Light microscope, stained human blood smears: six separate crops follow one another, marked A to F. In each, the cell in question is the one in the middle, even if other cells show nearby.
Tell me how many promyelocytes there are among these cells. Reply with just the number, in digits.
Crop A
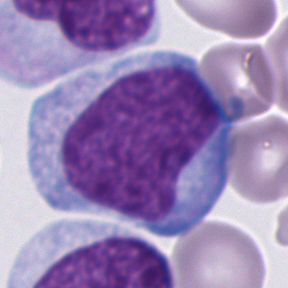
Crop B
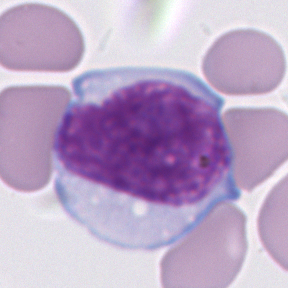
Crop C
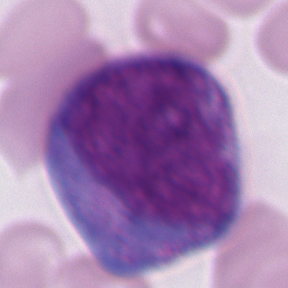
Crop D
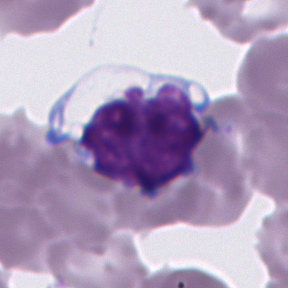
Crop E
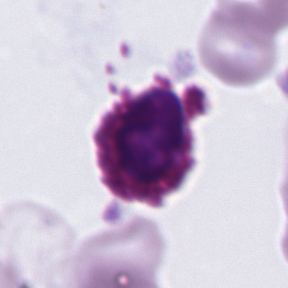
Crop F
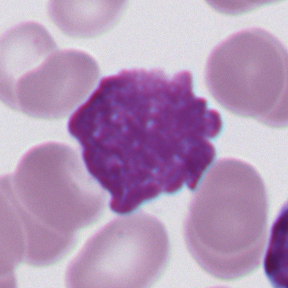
2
